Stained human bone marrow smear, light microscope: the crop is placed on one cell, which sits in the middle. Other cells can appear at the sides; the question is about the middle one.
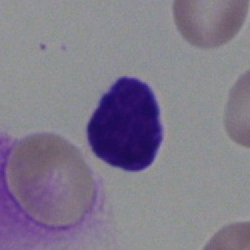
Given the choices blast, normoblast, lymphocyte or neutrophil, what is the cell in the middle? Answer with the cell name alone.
lymphocyte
